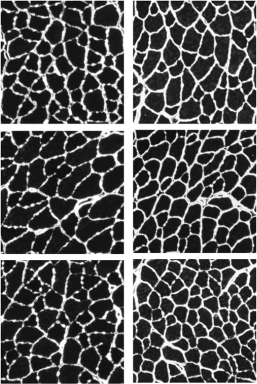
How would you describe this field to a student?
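These are cross-sections of skeletal muscle, cut so that each muscle fiber appears as a dark, many-sided profile. The bright white network traces a thin outline around every fiber, so the fibers fit together like paving stones with no empty space between them. The interior of the fibers shows no stain, so only their size and shape can be judged.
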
